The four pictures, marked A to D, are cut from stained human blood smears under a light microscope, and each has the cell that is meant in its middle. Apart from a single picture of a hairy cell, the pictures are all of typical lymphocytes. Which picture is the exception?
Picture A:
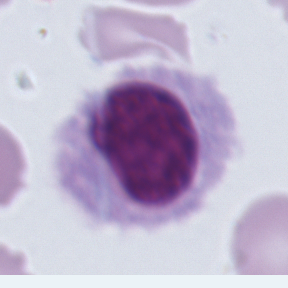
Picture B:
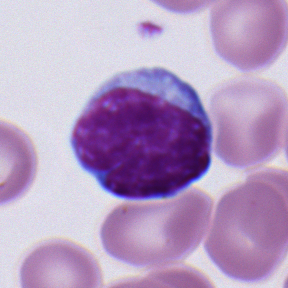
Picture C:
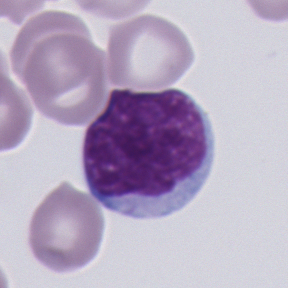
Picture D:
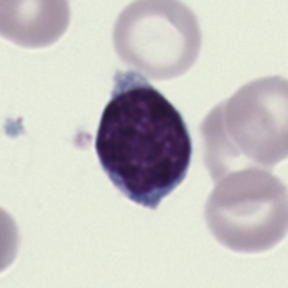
A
